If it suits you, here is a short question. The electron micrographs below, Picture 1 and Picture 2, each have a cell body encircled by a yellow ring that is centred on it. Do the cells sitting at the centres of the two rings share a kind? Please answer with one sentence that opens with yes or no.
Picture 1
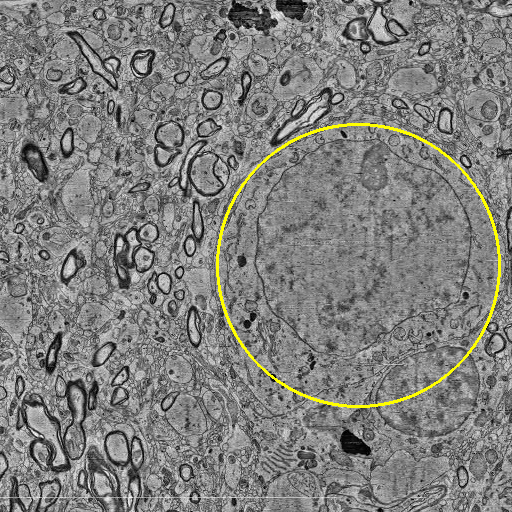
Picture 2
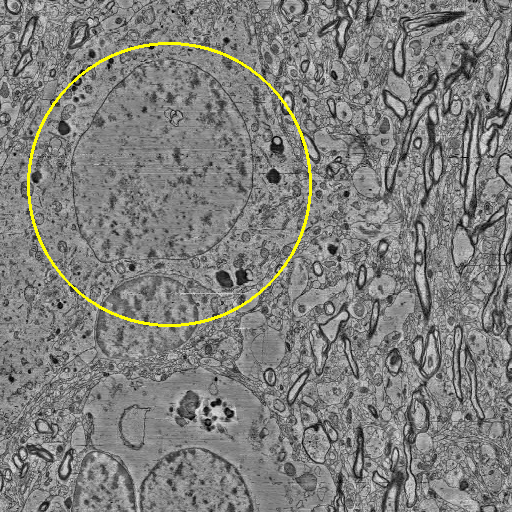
Yes, the two cells sitting at the ring centres share a single kind.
